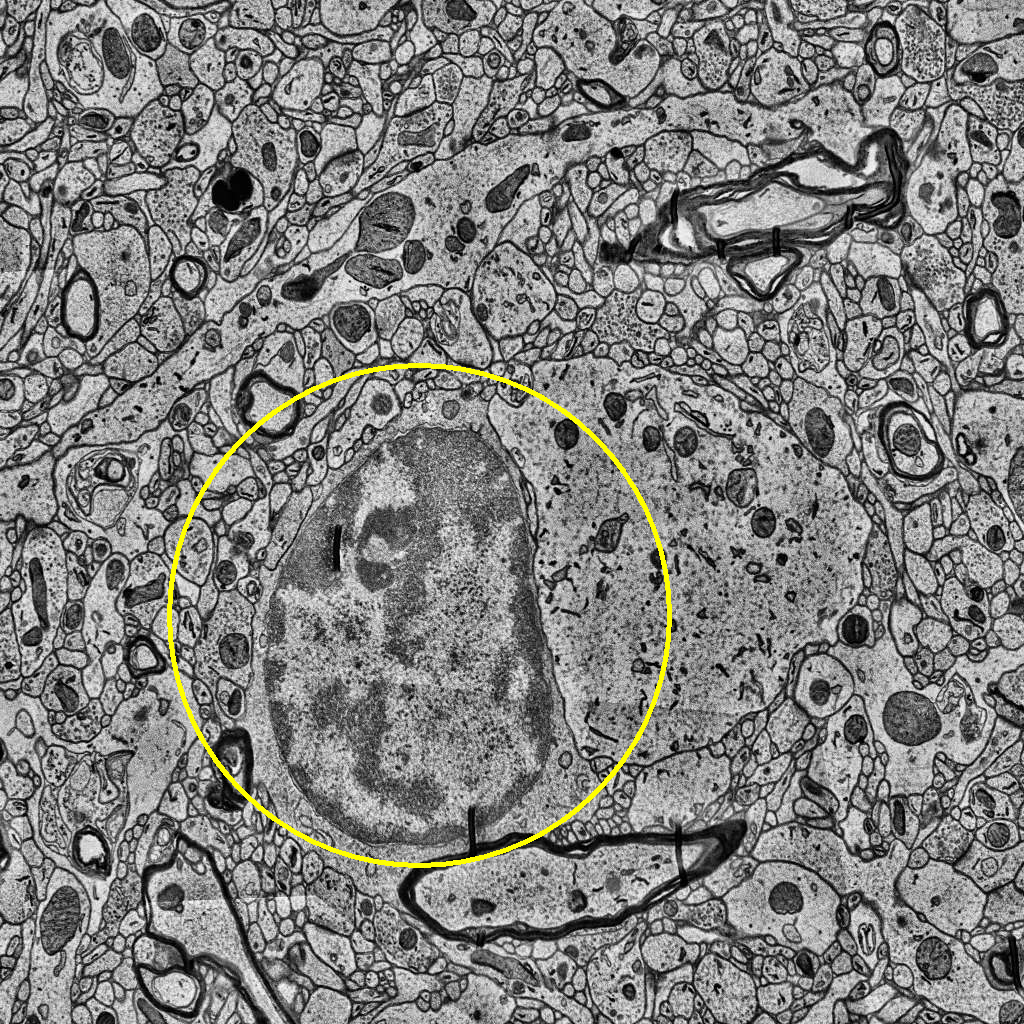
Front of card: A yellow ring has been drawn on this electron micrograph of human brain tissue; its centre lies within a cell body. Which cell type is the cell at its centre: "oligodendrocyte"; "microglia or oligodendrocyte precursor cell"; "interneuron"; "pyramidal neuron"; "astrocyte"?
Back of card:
oligodendrocyte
